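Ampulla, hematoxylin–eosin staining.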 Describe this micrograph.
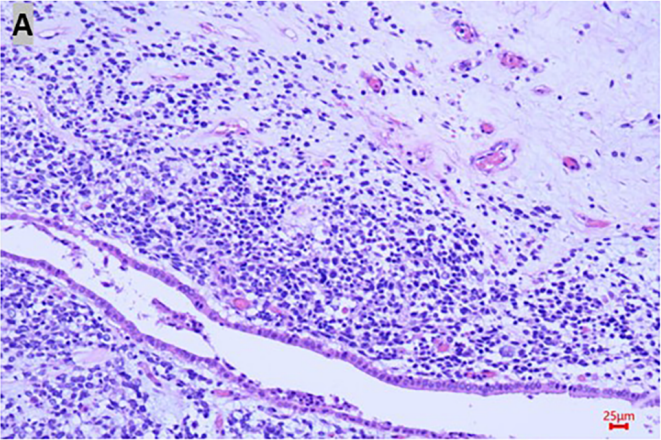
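This is a lesion beneath a columnar epithelium, made up of small round atypic cells packed into a dense band. The cells have round to oval, dark purple nuclei with little cytoplasm, and the nuclei differ noticeably in size and shape. A thin layer of columnar lining cells runs along a narrow cleft-like lumen, and the cellular band follows this lining in parallel. Further from the epithelium, the cells thin out into loose, pale stroma that holds small blood vessels with pink walls.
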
